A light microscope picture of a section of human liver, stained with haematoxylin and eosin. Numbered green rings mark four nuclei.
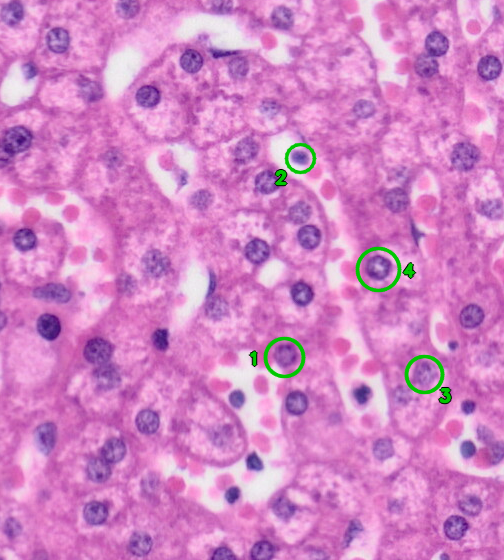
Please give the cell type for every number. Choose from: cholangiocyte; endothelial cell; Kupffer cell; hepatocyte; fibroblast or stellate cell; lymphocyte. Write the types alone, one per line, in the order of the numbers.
hepatocyte
lymphocyte
hepatocyte
hepatocyte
